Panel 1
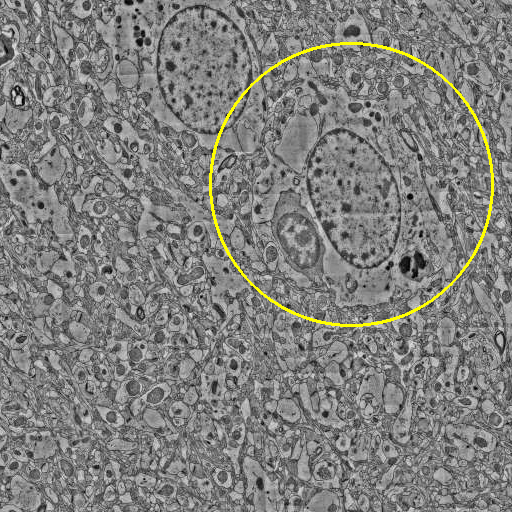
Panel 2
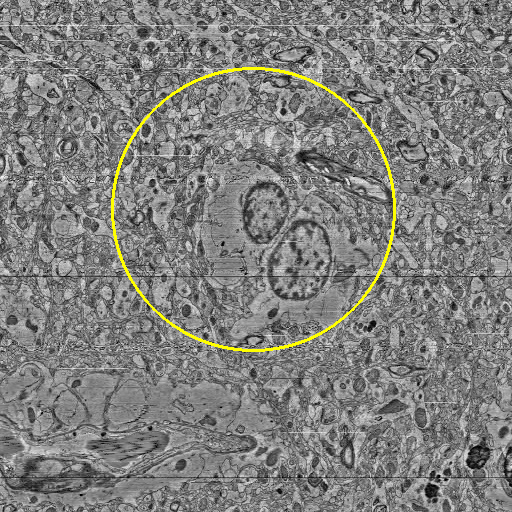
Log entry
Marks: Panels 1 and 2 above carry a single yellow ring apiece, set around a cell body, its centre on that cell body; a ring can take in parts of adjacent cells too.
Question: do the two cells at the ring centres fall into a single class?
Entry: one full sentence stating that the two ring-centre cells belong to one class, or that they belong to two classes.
The two ring-centre cells in Panels 1 and 2 belong to one class.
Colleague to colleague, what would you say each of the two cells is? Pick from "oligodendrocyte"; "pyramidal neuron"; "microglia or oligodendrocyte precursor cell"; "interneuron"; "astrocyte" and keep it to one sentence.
Both the first and the second picture show an astrocyte in the ring.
